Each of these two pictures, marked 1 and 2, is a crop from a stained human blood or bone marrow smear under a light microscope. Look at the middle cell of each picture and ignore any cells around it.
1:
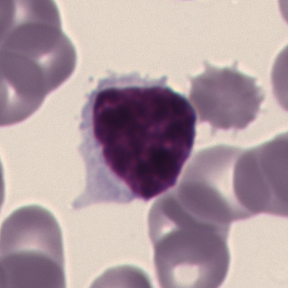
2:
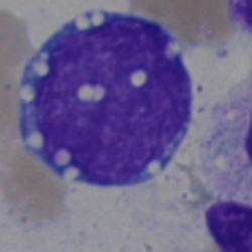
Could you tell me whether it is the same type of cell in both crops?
no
